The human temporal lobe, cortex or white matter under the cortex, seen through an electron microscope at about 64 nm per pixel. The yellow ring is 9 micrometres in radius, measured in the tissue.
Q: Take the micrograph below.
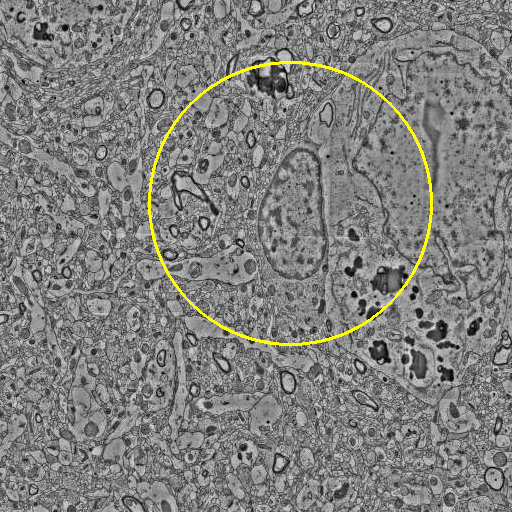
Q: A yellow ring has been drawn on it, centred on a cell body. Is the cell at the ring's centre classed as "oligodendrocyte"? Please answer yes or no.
Yes, that is its kind.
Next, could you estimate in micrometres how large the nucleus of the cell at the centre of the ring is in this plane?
In this plane, the nucleus of the cell at the centre of the ring measures about 8 by 4 micrometres.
